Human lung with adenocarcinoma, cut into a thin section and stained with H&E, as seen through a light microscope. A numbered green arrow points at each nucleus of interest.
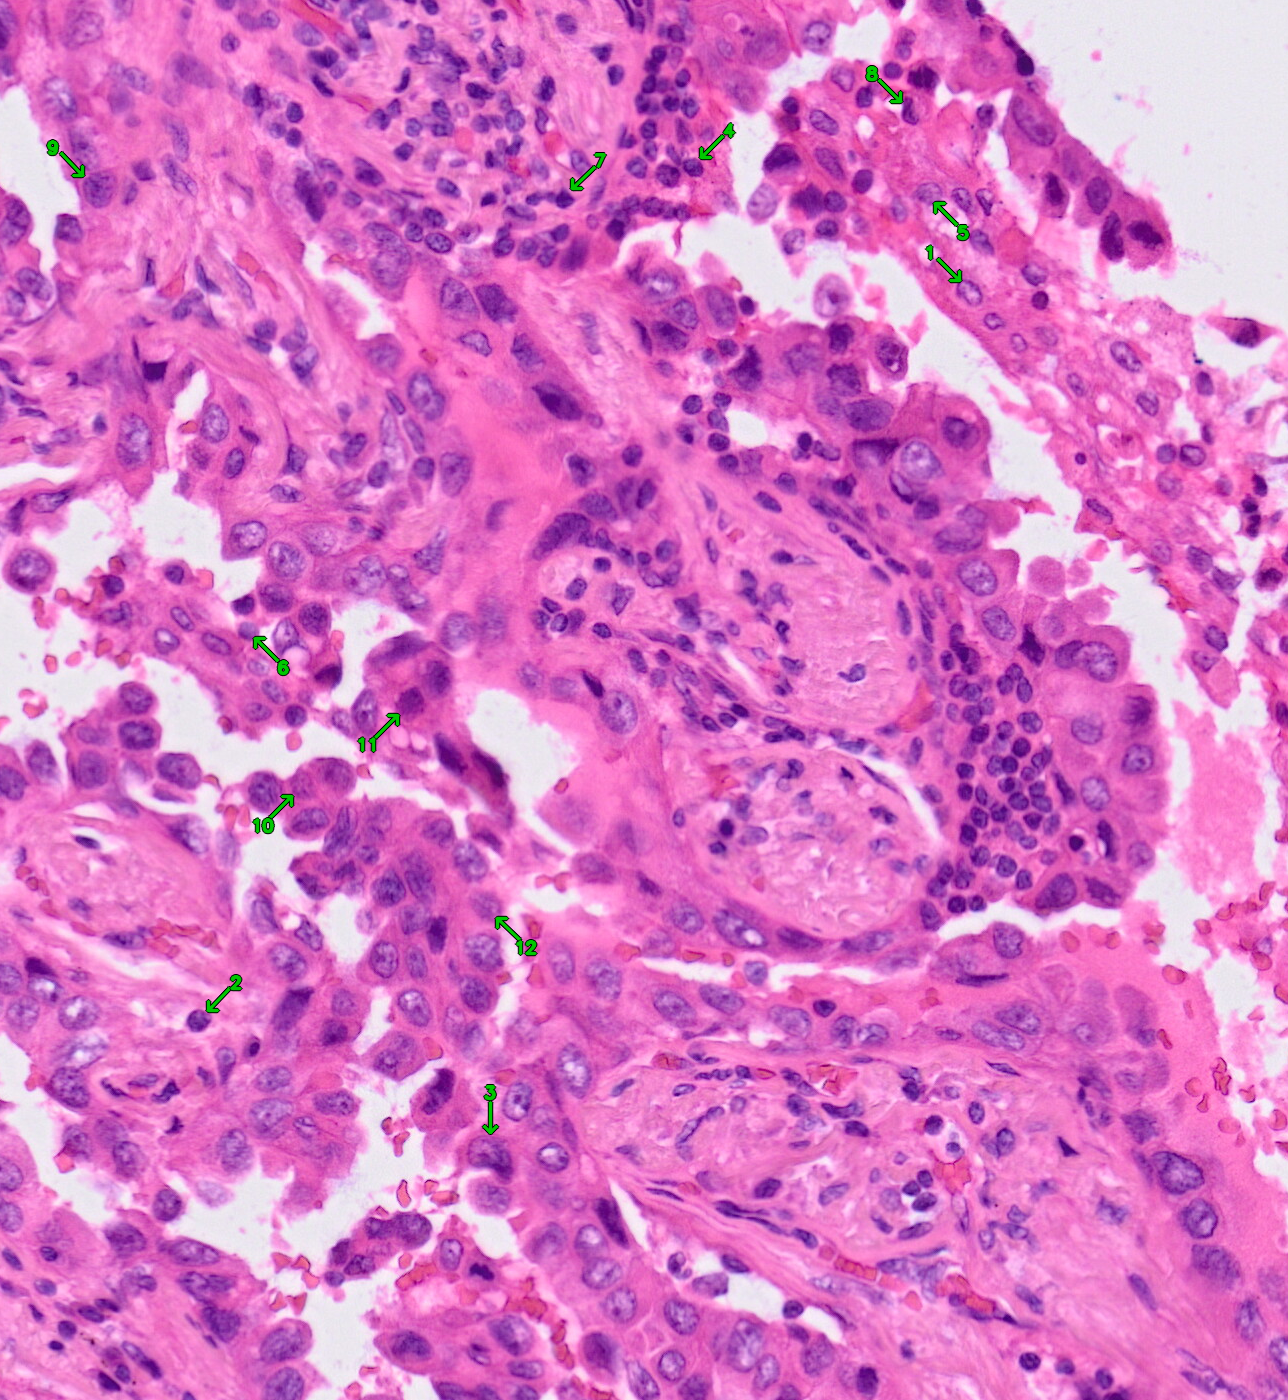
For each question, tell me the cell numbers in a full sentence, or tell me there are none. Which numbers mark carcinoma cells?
The cells numbered 3, 9, 10, 11 and 12 are of the kind known as carcinoma cells.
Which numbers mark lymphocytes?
The cells tagged 2, 4, 6 and 7 are lymphocytes in this tissue section.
